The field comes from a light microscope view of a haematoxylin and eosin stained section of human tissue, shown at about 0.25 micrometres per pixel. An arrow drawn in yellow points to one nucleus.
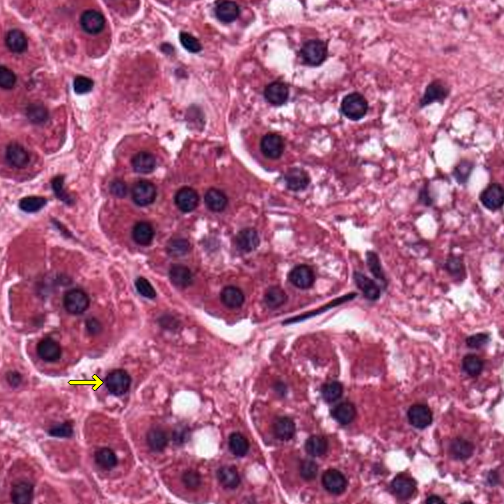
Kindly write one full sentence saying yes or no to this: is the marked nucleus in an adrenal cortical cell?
Yes, the nucleus indicated by the marking belongs to an adrenal cortical cell.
